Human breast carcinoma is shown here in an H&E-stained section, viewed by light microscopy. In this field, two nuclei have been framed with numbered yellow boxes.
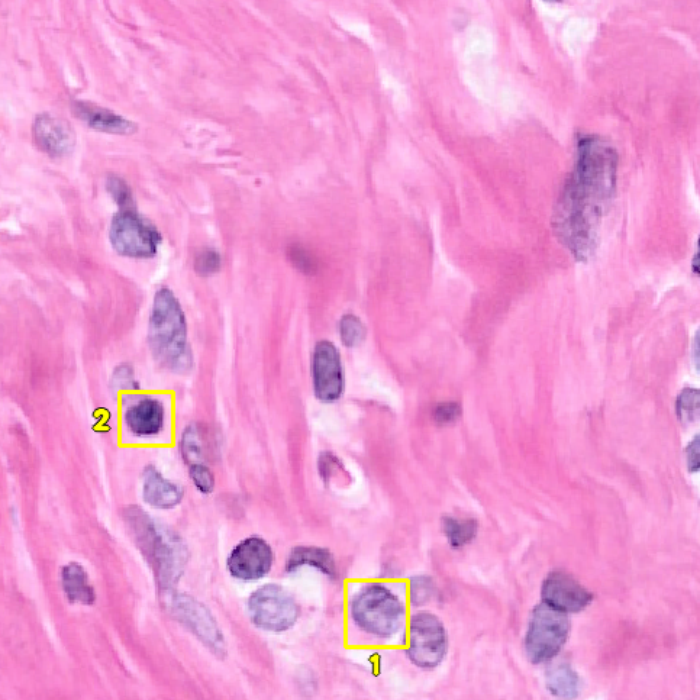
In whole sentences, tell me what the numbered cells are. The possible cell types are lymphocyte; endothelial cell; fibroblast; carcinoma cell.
Cell 1 is a carcinoma cell and cell 2 is a lymphocyte.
